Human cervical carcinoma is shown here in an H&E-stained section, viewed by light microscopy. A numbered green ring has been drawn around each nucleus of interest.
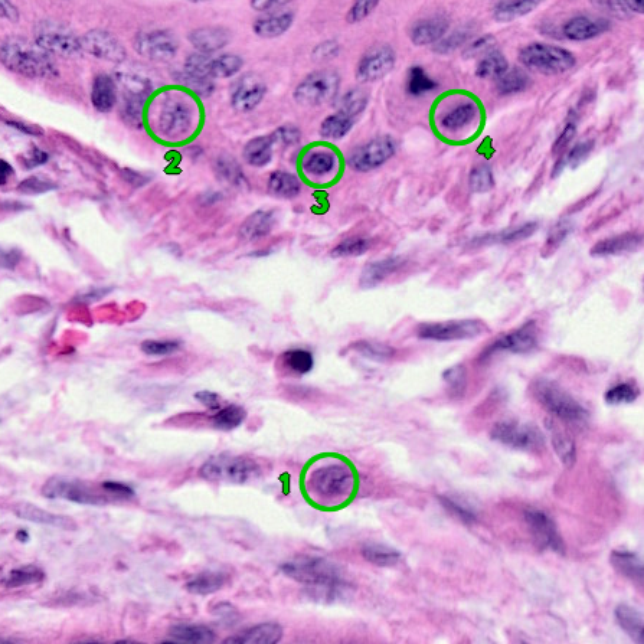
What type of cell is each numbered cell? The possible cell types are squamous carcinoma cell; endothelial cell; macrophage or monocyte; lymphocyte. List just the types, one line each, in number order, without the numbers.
macrophage or monocyte
squamous carcinoma cell
squamous carcinoma cell
squamous carcinoma cell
